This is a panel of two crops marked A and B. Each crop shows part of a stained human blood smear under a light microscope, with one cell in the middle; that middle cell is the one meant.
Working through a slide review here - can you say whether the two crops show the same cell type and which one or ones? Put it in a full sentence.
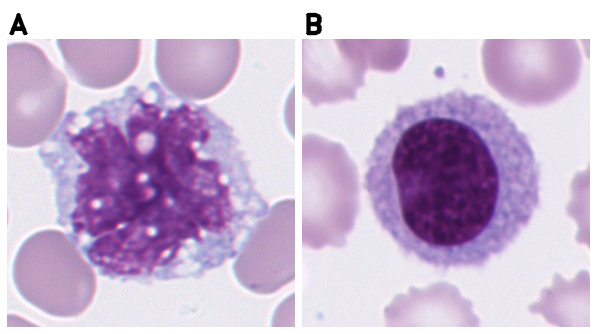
No, crop A is home to a monocyte, and crop B to a hairy cell.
